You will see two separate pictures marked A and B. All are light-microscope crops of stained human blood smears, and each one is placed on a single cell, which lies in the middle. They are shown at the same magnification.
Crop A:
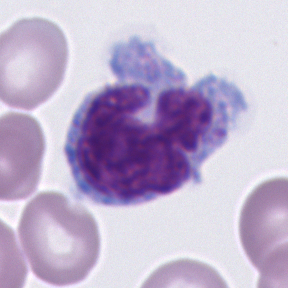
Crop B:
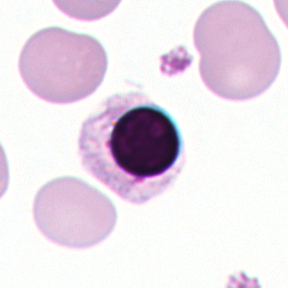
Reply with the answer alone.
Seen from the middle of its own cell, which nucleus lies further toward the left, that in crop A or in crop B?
A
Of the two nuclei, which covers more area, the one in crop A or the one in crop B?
A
